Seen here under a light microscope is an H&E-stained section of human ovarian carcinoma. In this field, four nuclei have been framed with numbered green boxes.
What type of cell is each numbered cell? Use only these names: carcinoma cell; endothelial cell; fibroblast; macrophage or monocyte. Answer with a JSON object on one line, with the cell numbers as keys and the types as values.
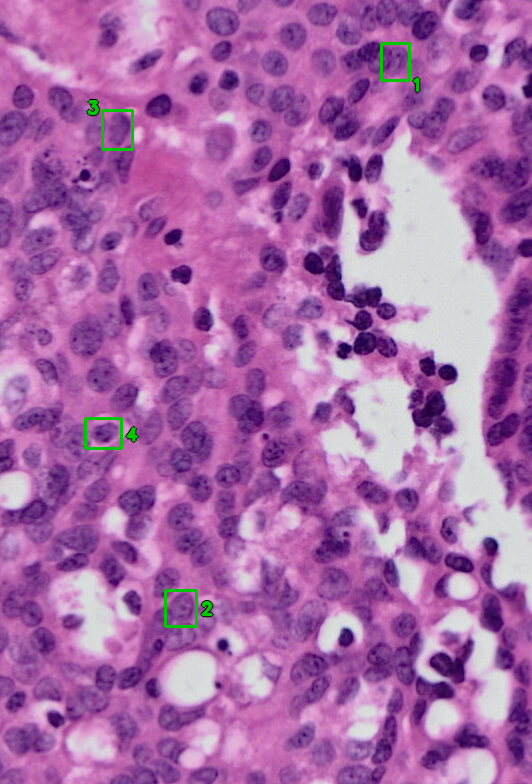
{"1": "carcinoma cell", "2": "carcinoma cell", "3": "carcinoma cell", "4": "macrophage or monocyte"}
